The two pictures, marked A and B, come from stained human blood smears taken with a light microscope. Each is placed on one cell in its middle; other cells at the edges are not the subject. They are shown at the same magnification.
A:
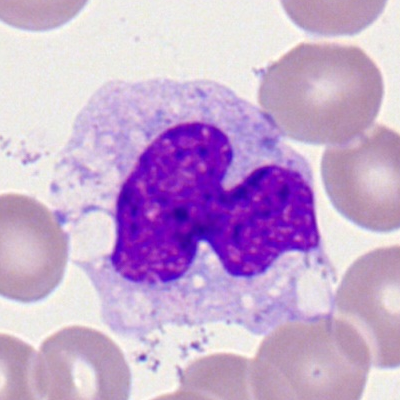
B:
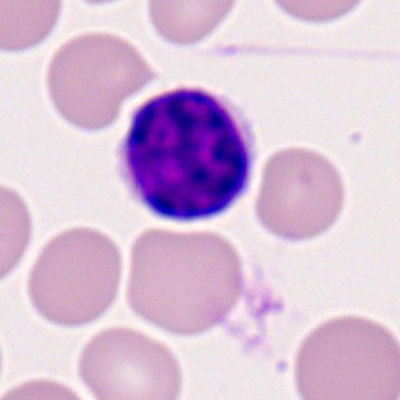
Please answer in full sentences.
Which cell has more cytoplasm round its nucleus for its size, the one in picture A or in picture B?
Of the two, the nucleus in picture A leaves more room for cytoplasm.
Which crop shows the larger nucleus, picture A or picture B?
Larger is the nucleus in picture A, at roughly 2 times the area of the other.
